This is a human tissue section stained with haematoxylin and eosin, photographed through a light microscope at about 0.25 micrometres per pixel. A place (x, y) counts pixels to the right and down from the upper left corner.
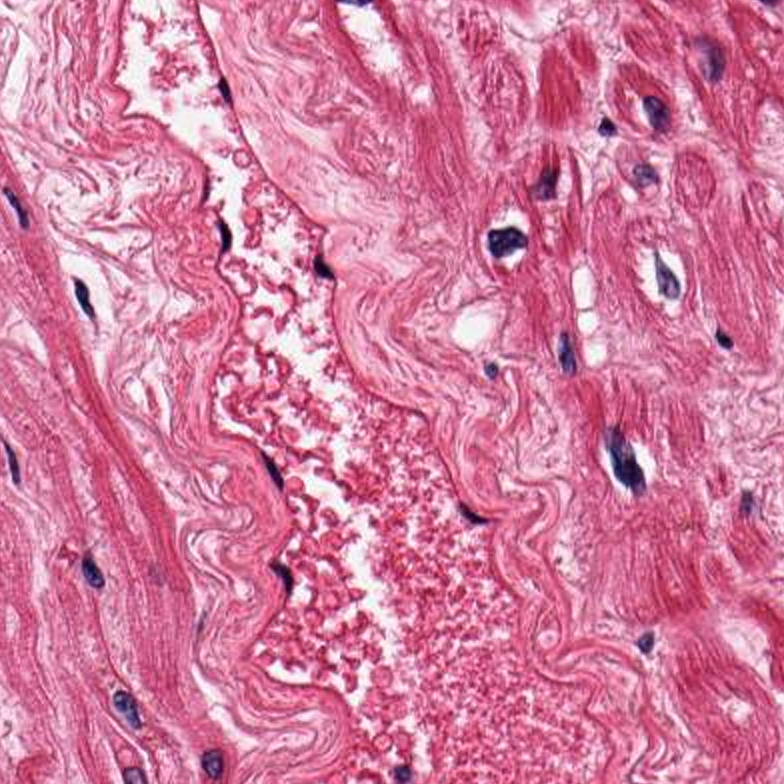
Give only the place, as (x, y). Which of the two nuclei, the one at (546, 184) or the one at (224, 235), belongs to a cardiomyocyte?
(546, 184)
